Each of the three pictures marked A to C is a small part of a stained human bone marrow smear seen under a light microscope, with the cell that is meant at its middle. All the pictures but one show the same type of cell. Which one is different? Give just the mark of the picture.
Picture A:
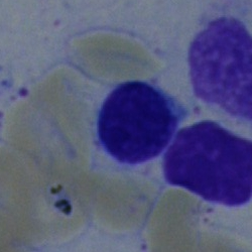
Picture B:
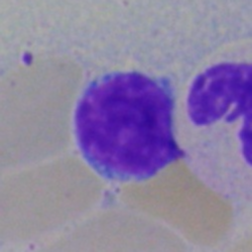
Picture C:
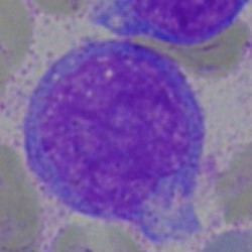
C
